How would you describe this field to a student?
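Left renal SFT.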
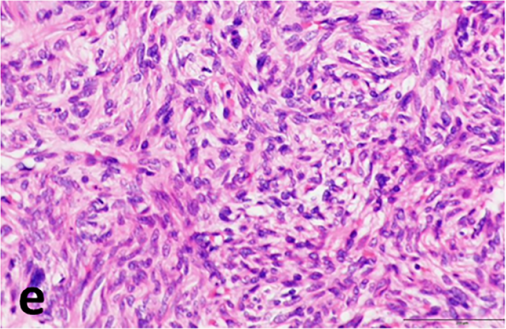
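A densely cellular tumor is made of spindle cells with elongated, dark purple nuclei and pale pink, drawn-out cytoplasm, lying among thin pink collagen strands. The cells run in short, ill-defined bundles that turn in different directions, a vague short fascicular arrangement of a spindle cell tumor.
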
